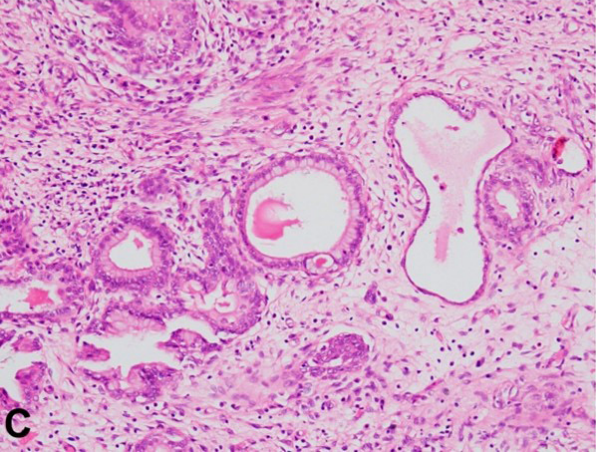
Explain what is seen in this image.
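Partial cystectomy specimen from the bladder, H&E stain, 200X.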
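Here glands lined by mucinous epithelium lie in a loose, cellular stroma. The lining cells are tall and columnar, with pale, clear-looking cytoplasm above nuclei pushed toward the base. The glands vary in shape, some round and some branched or slit-like, and some contain pink secretion in their lumens. Around them the stroma holds many spindle and oval cells, denser toward the upper part of the field.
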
